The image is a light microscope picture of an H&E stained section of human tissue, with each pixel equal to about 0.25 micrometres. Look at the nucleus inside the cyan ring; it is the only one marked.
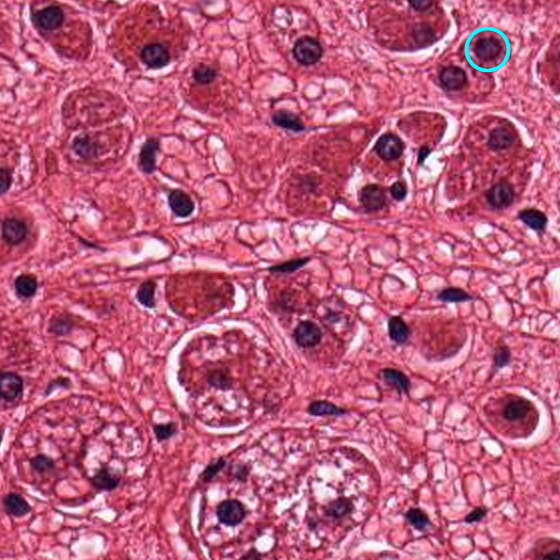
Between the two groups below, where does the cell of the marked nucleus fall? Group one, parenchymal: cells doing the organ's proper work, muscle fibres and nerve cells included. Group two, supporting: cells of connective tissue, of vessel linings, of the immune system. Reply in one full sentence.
The marked nucleus belongs to one of the parenchymal cells, namely an adrenal cortical cell.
